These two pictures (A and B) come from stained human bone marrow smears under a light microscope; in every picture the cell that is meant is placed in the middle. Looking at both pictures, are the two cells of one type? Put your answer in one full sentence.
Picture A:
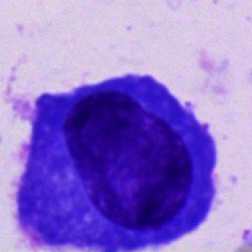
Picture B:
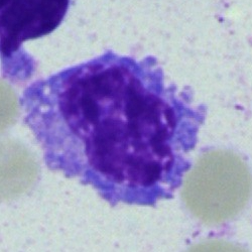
Yes; the cells in both pictures are plasma cells.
